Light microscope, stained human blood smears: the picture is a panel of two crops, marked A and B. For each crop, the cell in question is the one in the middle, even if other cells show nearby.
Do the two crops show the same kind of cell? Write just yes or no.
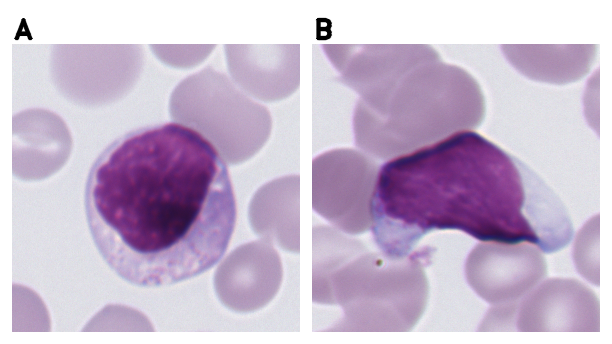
yes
